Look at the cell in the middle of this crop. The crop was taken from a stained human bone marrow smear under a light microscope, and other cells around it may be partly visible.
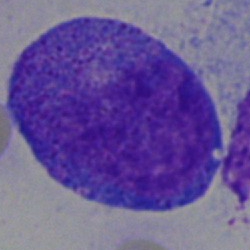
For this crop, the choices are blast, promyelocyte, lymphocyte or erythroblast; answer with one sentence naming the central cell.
Of the cells in this crop, the central one is a promyelocyte.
